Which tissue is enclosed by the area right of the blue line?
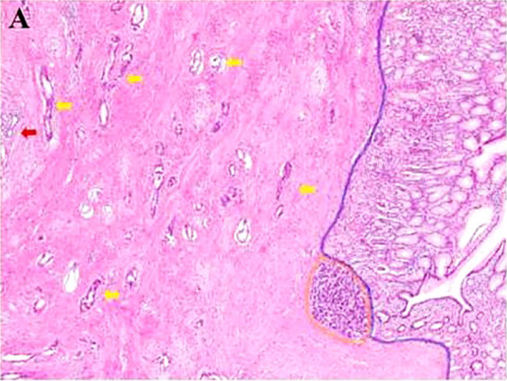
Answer: Surface gastric mucosa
